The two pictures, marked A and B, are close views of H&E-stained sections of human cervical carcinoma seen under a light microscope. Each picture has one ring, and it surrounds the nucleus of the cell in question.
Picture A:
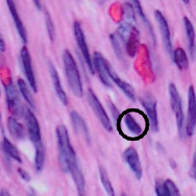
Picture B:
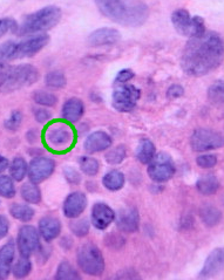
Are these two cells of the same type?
no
